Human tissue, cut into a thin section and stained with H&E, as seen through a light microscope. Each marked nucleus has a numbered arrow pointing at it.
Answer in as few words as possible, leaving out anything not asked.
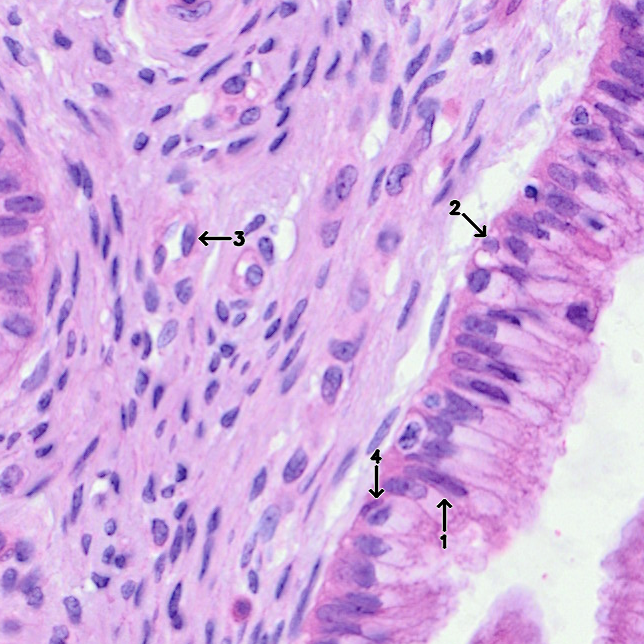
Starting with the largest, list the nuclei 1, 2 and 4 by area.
1, 4, 2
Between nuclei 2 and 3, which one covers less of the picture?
2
